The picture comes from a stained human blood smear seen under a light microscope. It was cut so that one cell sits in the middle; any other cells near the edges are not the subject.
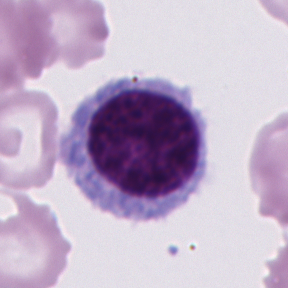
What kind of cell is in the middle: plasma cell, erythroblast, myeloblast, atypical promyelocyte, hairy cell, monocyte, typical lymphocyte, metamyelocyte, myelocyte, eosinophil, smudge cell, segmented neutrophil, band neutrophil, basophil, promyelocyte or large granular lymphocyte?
hairy cell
